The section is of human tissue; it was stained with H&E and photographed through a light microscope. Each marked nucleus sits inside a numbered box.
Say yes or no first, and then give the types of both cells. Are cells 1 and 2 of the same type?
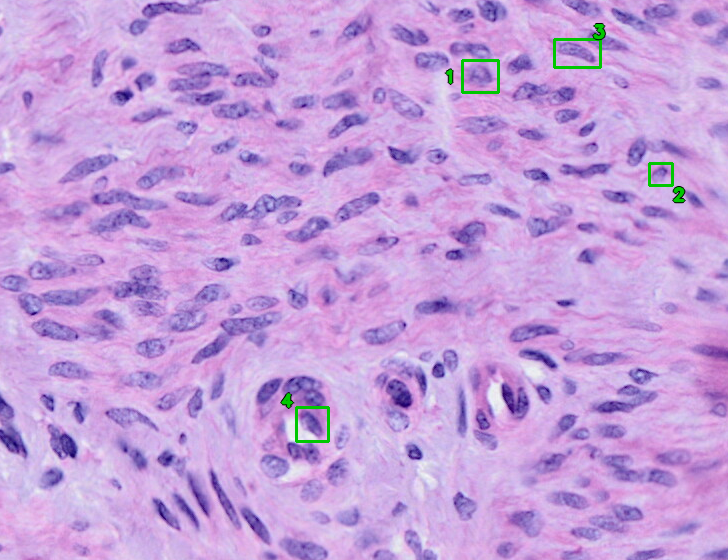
Yes, both are smooth muscle cells.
